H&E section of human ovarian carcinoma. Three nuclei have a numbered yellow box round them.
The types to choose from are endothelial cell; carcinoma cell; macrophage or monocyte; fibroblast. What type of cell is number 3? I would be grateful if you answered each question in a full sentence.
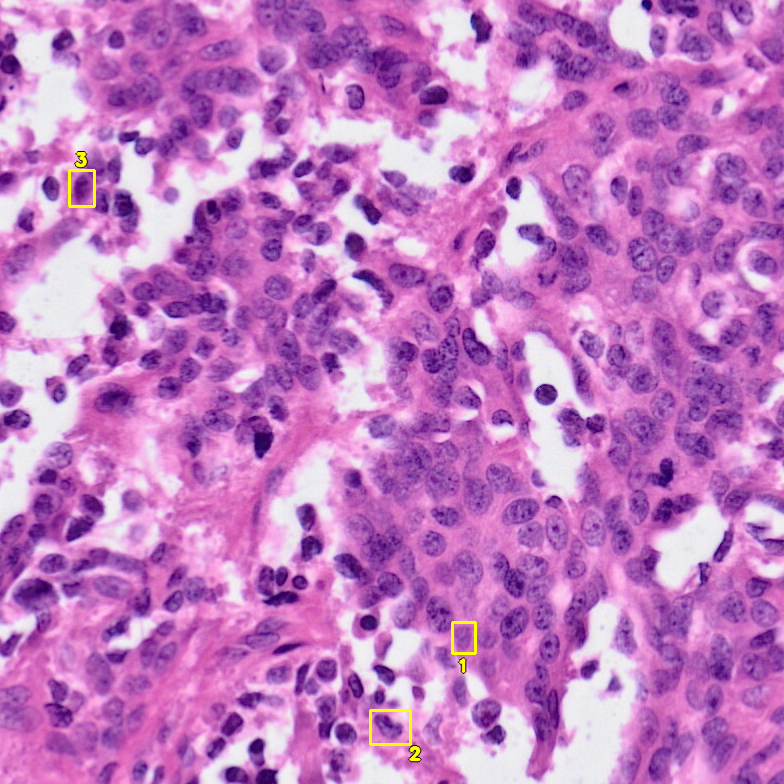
Corresponding to a carcinoma cell is the cell labelled 3.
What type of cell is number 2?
The cell referred to as 2 is a macrophage or monocyte.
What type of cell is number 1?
Regarding cell 1, this one is a carcinoma cell.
